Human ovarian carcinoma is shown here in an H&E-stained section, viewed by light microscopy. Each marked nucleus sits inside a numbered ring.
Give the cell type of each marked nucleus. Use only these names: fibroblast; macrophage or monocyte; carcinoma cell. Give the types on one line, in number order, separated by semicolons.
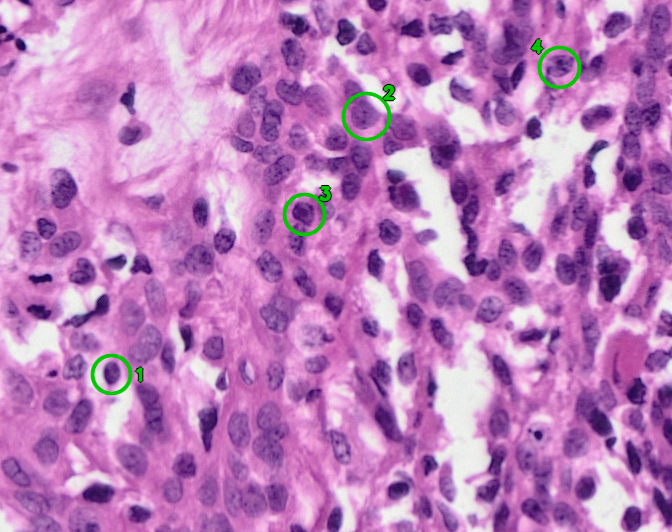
carcinoma cell; carcinoma cell; carcinoma cell; macrophage or monocyte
